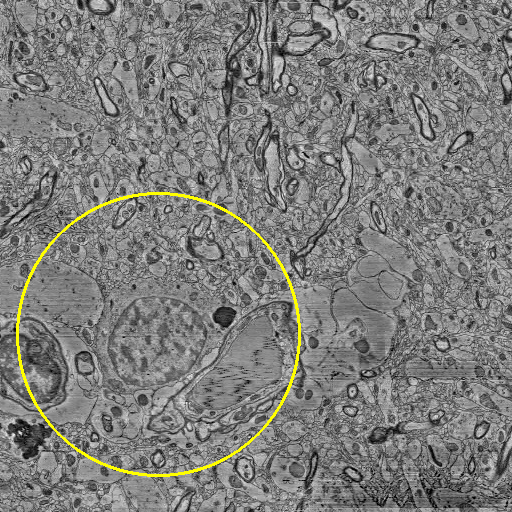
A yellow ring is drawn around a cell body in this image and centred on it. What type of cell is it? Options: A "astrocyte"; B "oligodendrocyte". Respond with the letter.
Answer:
B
